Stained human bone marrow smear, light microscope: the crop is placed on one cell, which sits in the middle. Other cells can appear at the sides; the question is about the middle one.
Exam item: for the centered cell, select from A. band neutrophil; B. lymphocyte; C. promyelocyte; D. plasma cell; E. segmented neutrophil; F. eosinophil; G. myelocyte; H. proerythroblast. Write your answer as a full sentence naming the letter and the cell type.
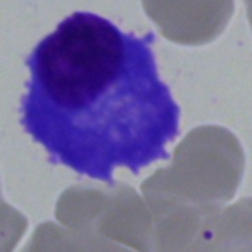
Option D correctly names the cell in the middle as a plasma cell.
